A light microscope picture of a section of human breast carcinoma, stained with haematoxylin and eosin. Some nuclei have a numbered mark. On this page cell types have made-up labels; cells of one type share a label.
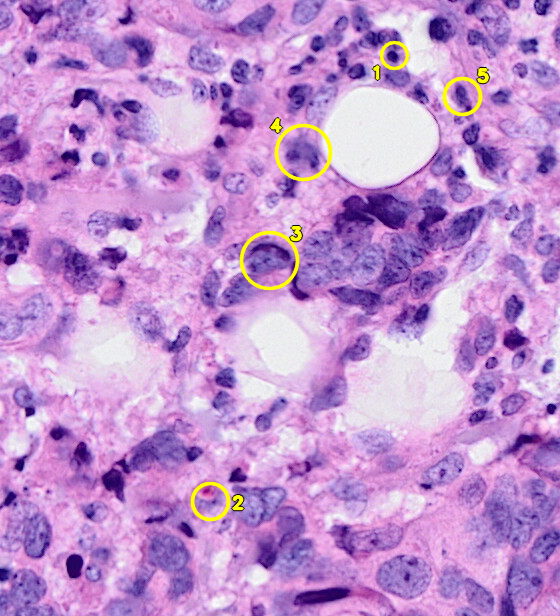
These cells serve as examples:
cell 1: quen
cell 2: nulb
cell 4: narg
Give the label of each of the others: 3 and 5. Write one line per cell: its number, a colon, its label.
3: narg
5: quen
